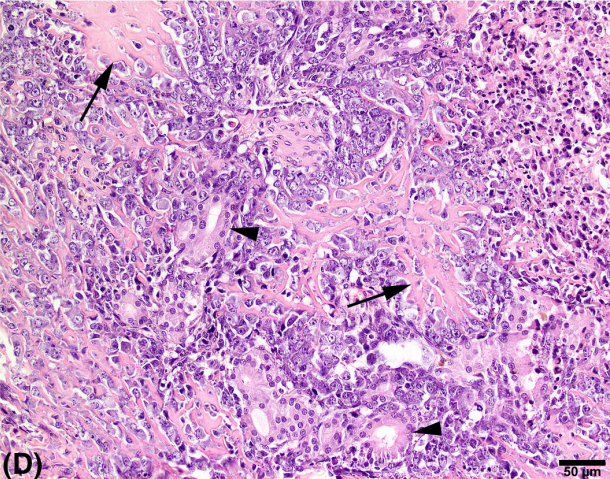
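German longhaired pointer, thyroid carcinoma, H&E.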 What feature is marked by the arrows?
Osteoid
